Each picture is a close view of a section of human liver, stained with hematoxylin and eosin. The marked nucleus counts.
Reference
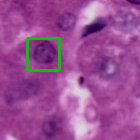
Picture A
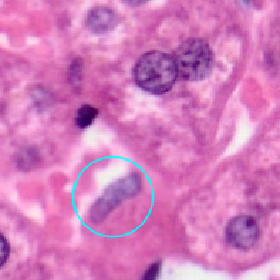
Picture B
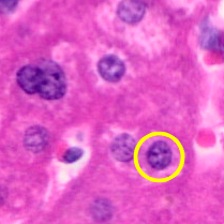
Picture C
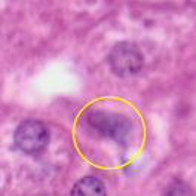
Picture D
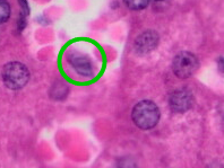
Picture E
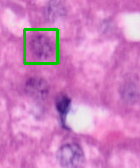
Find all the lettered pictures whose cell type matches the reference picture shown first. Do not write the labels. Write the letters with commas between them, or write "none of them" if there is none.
B, E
